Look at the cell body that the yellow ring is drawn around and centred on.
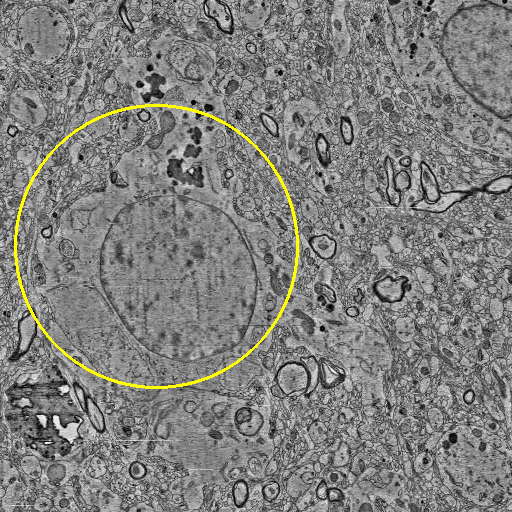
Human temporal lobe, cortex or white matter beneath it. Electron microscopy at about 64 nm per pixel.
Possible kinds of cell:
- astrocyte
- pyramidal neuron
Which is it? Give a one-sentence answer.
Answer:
The centred cell body is that of an astrocyte.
